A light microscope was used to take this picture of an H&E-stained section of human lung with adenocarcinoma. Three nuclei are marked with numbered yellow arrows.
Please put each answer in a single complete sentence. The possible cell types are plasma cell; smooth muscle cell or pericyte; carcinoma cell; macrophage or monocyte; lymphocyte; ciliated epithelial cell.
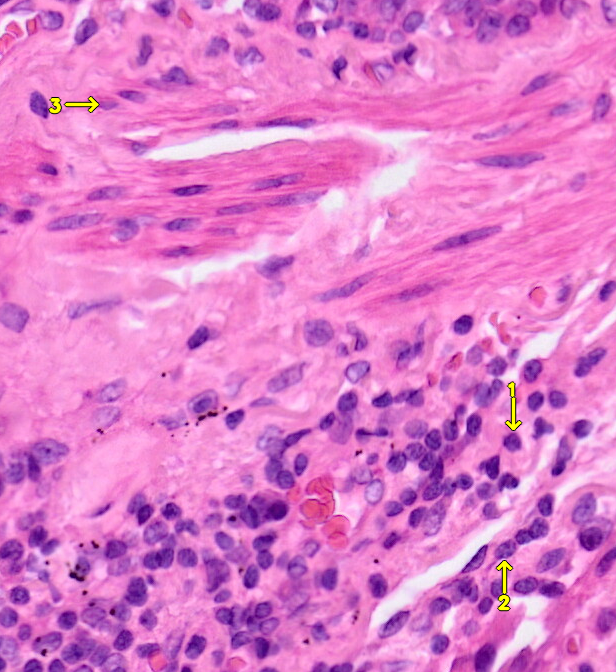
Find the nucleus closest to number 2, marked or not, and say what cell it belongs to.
Closest to number 2 lies the nucleus of a lymphocyte.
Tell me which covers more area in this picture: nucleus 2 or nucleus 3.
At about 2 times the area of nucleus 3, nucleus 2 is the larger of the two.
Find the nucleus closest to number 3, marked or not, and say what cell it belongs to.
Number 3 lies closest to the nucleus of a smooth muscle cell or pericyte.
